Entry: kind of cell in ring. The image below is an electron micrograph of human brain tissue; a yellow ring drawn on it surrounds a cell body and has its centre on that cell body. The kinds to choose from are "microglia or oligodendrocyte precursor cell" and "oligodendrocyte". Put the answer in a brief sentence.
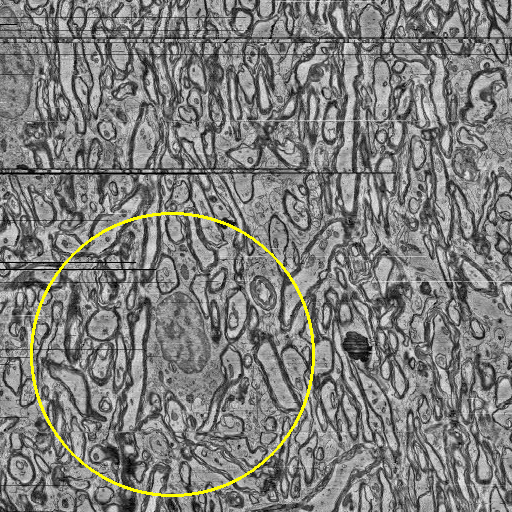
The ring has been drawn around an oligodendrocyte.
